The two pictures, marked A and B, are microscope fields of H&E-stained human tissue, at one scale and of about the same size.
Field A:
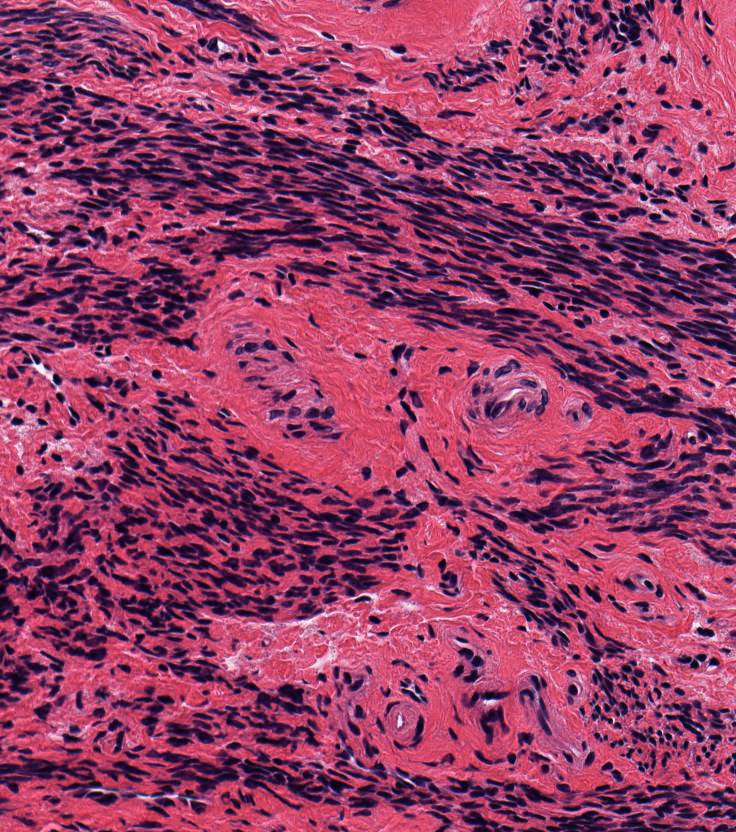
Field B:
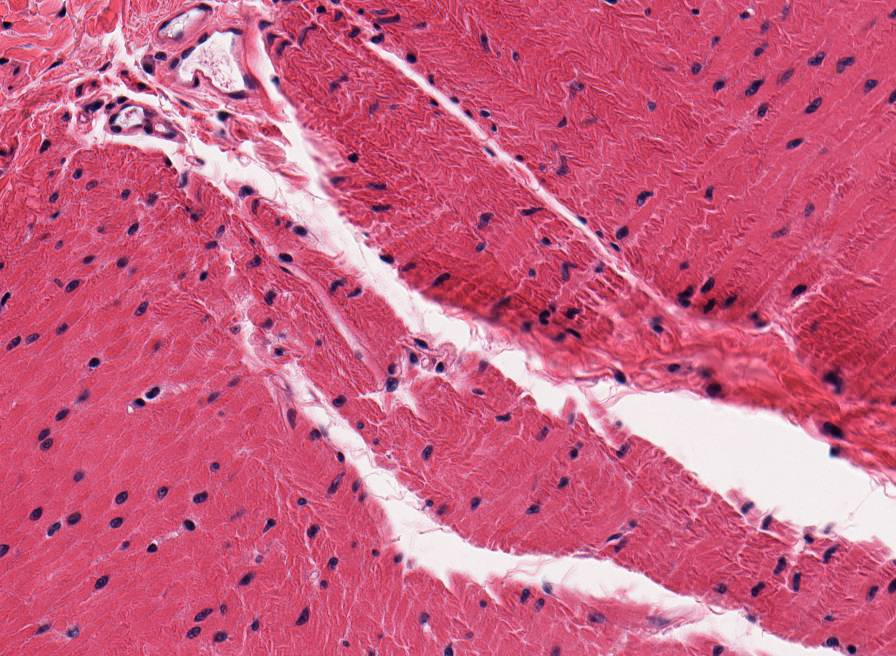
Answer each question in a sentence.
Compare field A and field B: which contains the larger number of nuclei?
Field A holds more nuclei than field B.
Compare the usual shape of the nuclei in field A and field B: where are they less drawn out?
The nuclei are rounder in field B.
